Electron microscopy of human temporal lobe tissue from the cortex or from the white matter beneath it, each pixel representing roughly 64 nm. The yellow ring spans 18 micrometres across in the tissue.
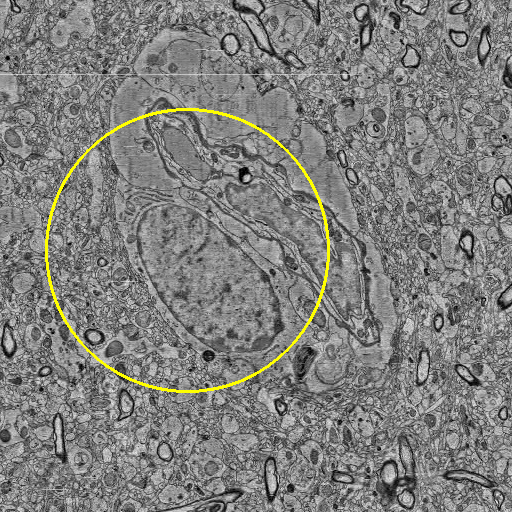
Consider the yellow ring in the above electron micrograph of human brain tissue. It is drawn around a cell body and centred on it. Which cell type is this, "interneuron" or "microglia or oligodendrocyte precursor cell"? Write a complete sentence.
The cell in question is a microglial cell or oligodendrocyte precursor cell.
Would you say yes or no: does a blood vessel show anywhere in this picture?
Yes, one shows.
